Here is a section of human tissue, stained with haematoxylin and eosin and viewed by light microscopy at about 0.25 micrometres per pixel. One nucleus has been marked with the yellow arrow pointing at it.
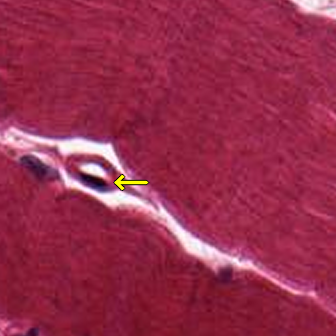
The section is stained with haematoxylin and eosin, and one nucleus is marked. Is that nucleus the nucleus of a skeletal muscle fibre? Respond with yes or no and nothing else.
no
